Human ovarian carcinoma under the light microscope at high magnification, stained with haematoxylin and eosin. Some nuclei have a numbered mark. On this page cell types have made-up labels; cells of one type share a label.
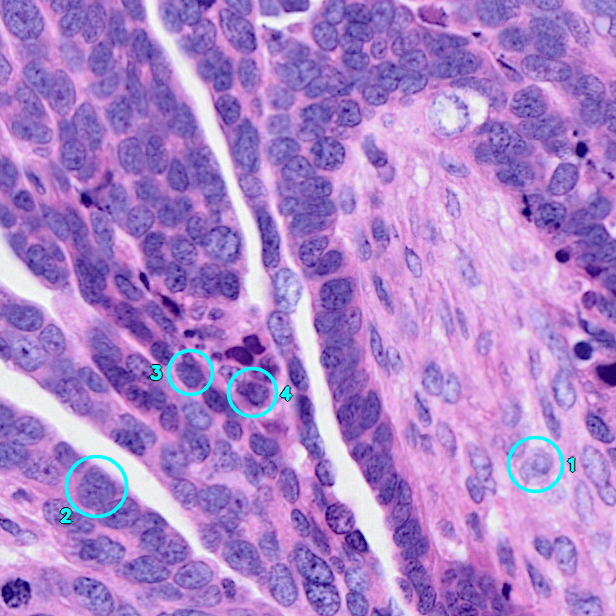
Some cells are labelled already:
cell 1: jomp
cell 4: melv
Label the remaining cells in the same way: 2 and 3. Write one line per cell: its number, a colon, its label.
2: melv
3: melv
